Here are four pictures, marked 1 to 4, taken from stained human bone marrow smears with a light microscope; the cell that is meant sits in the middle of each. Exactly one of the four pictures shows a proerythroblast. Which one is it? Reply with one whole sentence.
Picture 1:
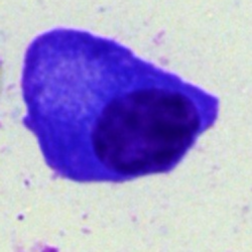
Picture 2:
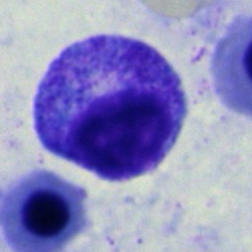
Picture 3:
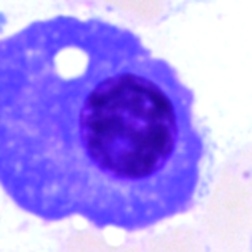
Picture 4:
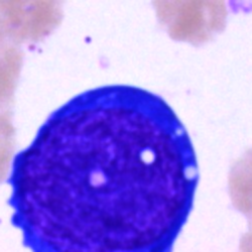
Picture 4 is the one that shows the proerythroblast.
